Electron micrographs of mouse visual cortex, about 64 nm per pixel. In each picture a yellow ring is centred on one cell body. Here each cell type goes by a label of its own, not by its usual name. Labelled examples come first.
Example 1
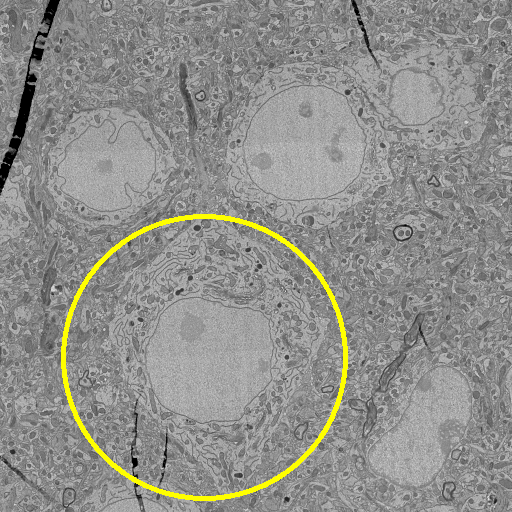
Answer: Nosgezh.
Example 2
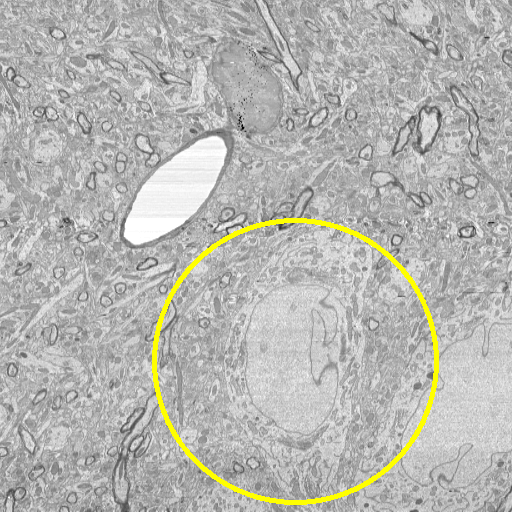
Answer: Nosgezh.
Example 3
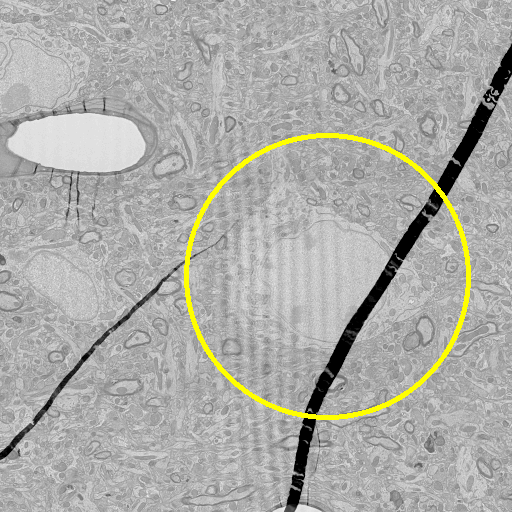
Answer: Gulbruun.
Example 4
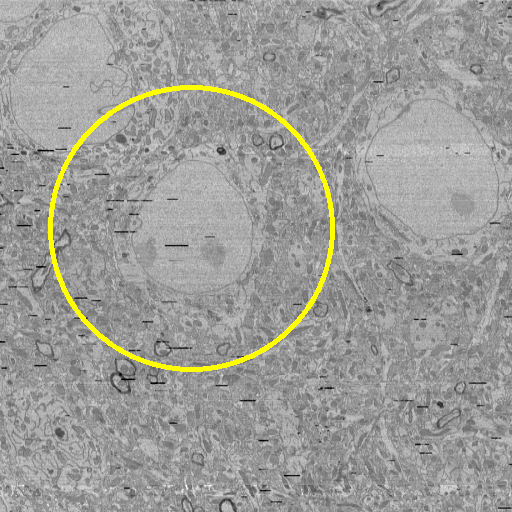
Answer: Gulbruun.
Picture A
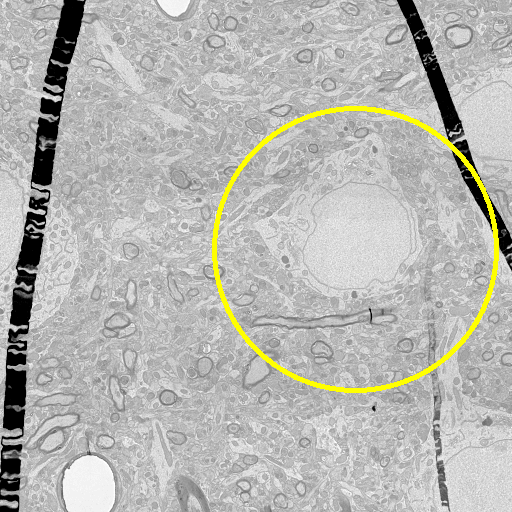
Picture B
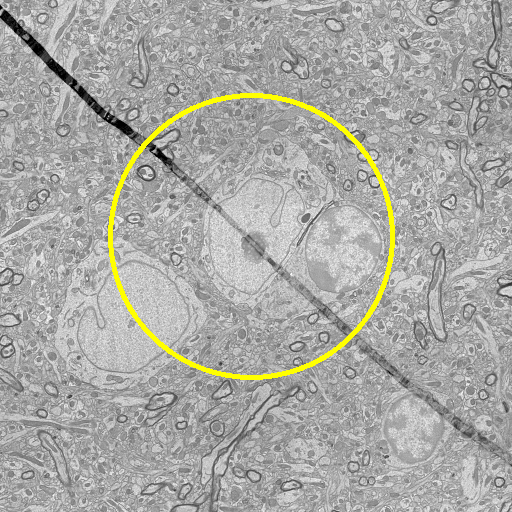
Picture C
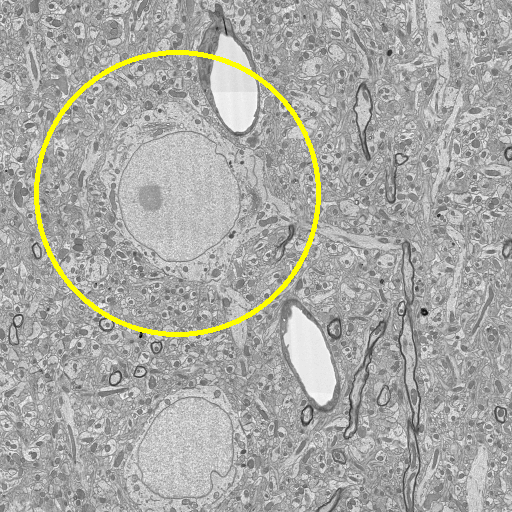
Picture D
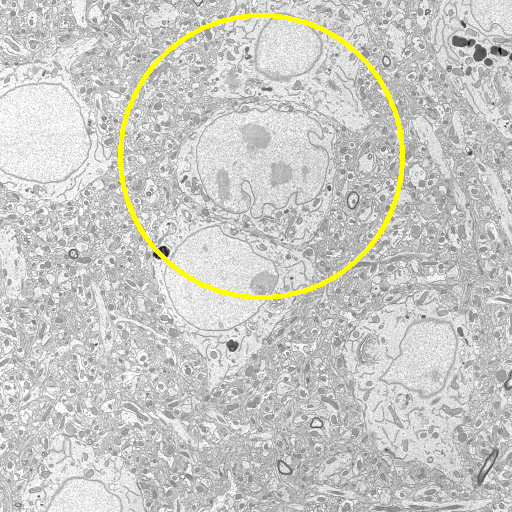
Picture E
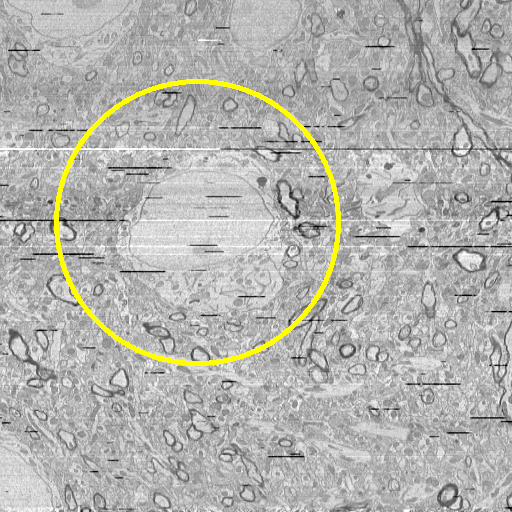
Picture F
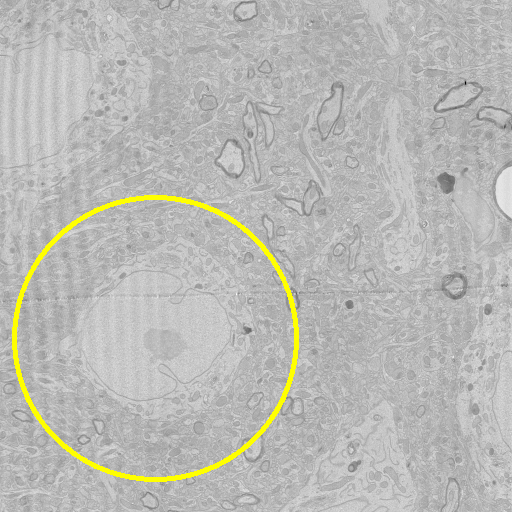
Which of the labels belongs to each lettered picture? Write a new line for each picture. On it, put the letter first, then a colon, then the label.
A: Gulbruun.
B: Nosgezh.
C: Gulbruun.
D: Nosgezh.
E: Gulbruun.
F: Gulbruun.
